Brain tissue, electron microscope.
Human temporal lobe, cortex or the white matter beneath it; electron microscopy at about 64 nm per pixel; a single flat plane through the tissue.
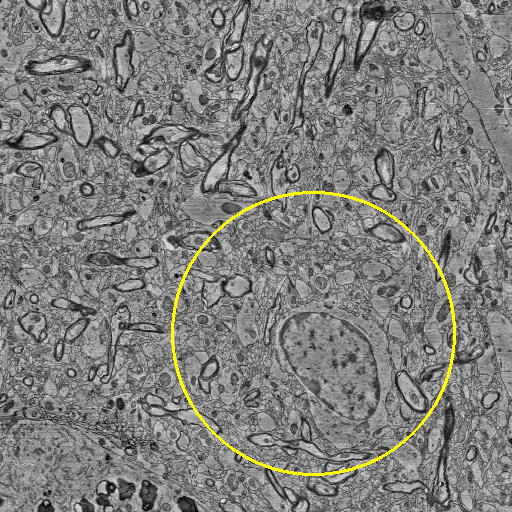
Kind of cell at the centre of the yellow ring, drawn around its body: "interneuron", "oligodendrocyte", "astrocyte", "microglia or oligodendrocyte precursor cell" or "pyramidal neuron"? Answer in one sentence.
The ring's centre falls on a microglial cell or oligodendrocyte precursor cell.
